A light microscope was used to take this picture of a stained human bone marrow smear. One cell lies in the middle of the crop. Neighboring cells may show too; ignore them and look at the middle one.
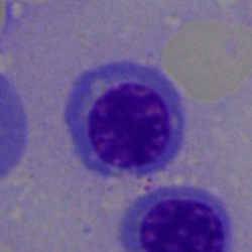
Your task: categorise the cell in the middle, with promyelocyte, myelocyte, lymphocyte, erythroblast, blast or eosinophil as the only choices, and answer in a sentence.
For this crop, the cell in the middle is an erythroblast.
